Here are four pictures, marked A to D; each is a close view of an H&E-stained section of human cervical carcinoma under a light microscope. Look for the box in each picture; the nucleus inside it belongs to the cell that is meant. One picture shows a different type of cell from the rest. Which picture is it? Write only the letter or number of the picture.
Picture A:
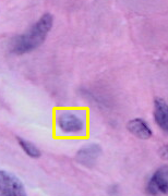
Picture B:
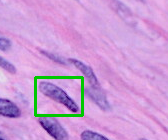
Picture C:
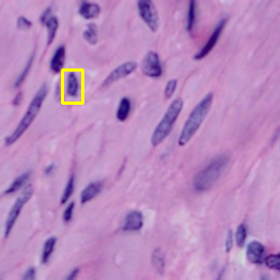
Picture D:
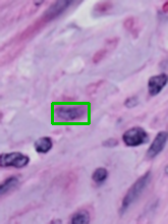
D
